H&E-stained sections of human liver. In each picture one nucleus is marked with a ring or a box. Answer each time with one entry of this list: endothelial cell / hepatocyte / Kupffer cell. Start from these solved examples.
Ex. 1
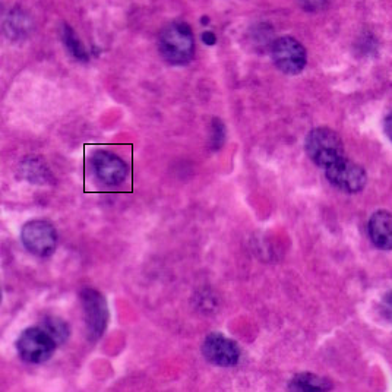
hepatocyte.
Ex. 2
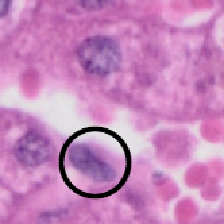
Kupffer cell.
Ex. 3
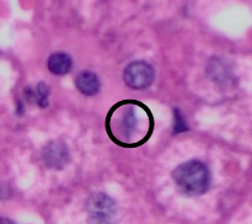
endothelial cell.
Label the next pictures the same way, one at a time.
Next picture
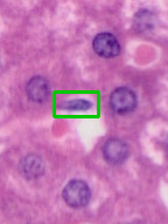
endothelial cell.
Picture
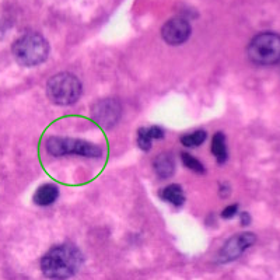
Kupffer cell.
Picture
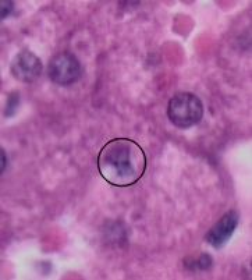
endothelial cell.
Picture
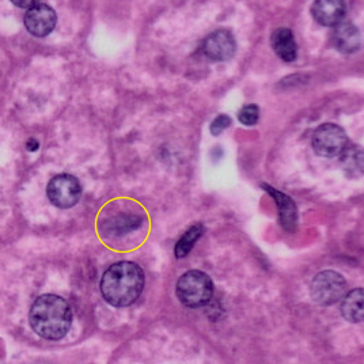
endothelial cell.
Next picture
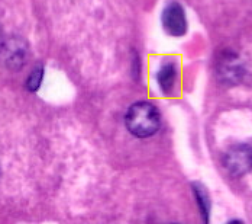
Kupffer cell.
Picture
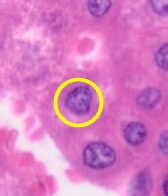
hepatocyte.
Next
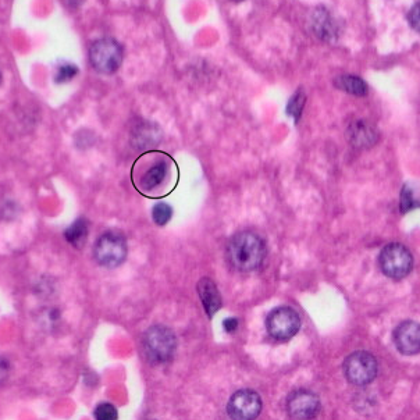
Kupffer cell.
